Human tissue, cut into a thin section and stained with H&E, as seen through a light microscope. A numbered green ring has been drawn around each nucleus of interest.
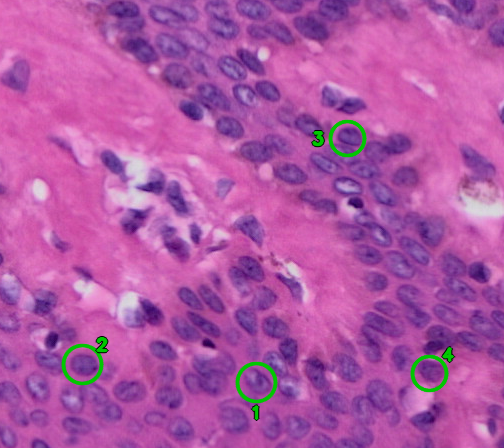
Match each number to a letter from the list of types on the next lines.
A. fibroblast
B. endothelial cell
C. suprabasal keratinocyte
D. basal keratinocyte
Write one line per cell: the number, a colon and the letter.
1: C
2: D
3: D
4: D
